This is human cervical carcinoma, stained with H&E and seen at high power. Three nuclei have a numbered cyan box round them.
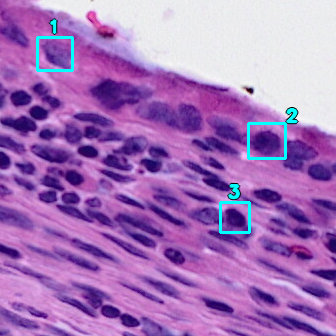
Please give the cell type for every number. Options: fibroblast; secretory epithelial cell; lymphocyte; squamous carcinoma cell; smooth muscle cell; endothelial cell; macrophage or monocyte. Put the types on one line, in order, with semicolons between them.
secretory epithelial cell; secretory epithelial cell; lymphocyte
